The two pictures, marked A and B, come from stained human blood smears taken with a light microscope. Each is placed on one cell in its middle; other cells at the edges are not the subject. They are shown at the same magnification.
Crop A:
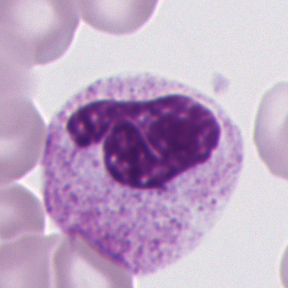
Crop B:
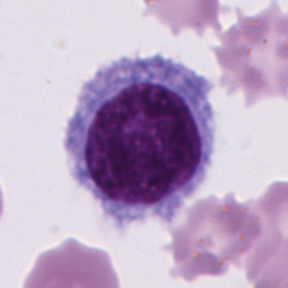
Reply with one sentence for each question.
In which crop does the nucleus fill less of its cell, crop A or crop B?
In crop A the nucleus takes up the smaller part of its cell.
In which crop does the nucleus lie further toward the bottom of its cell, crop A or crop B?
In crop B the nucleus is shifted more toward the bottom.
